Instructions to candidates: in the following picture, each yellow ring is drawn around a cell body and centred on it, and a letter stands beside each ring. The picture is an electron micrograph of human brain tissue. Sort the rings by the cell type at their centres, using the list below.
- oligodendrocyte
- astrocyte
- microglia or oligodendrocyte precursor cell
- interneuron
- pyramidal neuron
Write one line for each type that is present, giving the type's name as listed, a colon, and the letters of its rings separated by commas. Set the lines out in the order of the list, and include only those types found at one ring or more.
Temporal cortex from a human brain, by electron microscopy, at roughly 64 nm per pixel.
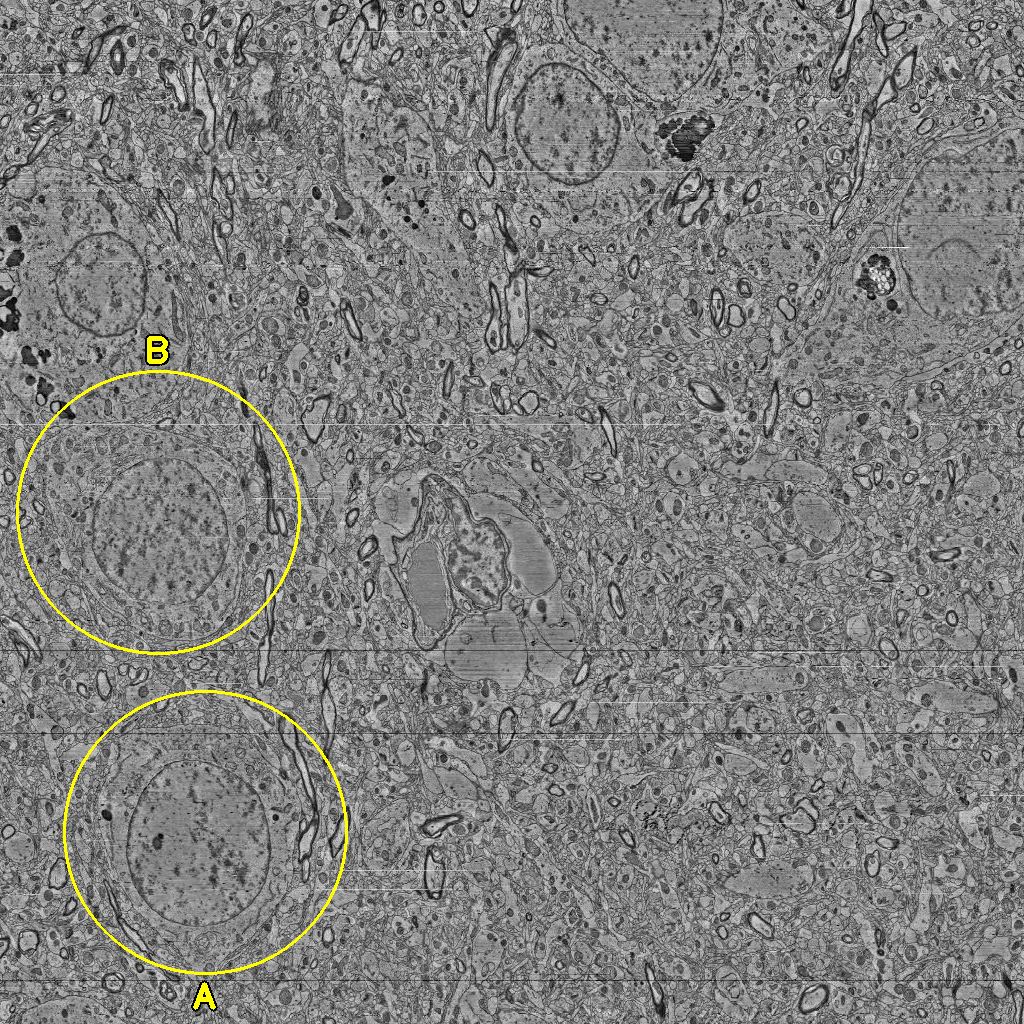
interneuron: B
pyramidal neuron: A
